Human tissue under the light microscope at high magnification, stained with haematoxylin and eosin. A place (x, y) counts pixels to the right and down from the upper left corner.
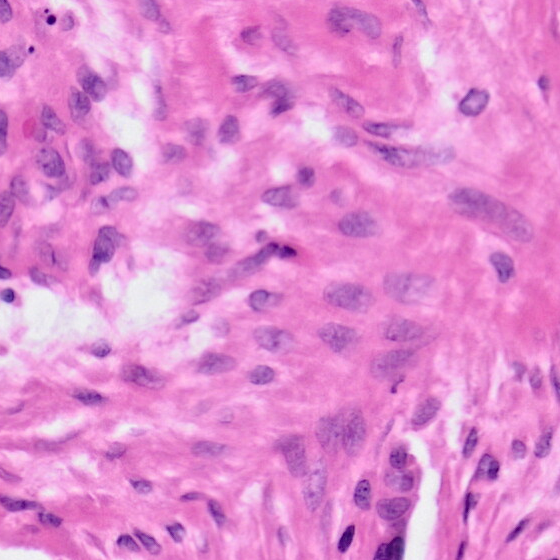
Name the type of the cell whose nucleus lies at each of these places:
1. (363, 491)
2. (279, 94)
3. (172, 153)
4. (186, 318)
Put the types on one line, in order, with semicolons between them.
macrophage or monocyte; fibroblast; fibroblast; fibroblast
